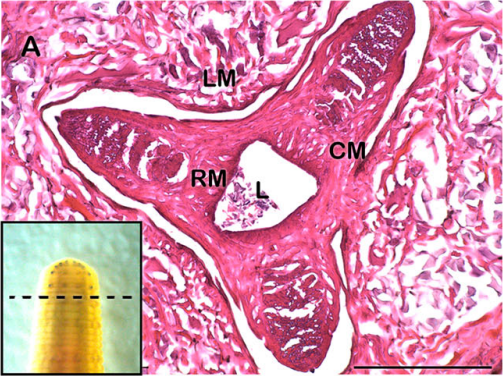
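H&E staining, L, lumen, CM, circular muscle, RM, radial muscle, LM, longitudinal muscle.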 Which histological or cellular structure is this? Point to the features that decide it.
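Three elongated lobes radiate from a central cavity. Each lobe is bounded by a pale cleft from the surrounding pink tissue.
Hence: three jaws.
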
